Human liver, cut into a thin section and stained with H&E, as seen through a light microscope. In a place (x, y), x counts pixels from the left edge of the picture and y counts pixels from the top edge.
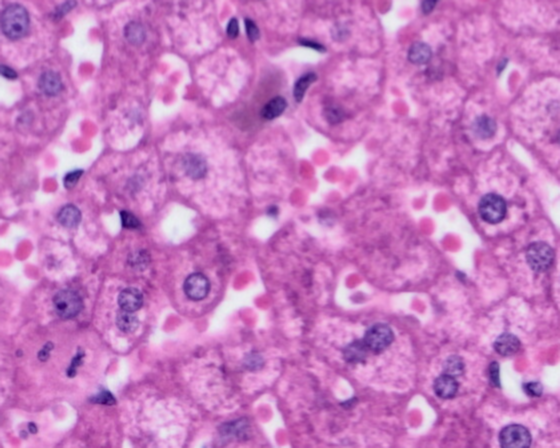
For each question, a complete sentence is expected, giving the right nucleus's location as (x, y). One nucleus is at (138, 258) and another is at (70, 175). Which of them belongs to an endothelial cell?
The nucleus of the pair that lies within an endothelial cell is at (70, 175).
